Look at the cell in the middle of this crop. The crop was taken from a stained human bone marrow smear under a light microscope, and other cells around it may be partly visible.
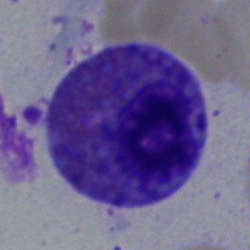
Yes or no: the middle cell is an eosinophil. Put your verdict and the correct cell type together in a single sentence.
Yes, the cell under consideration, the one in the middle, is an eosinophil.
